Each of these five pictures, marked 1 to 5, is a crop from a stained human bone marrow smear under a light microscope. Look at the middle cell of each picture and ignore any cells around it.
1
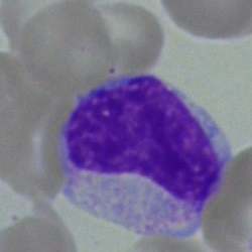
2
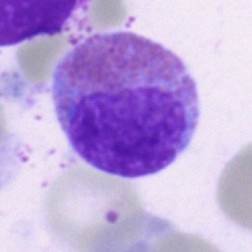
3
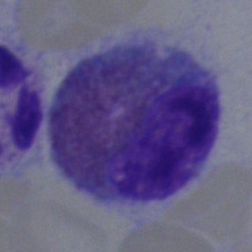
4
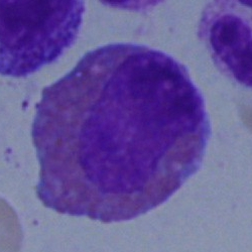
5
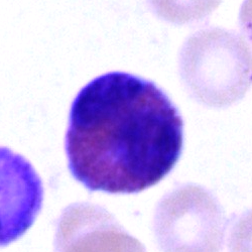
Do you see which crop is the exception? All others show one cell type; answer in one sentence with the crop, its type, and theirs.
Shown in crop 1 is a metamyelocyte, in contrast to the eosinophils of all the other crops.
